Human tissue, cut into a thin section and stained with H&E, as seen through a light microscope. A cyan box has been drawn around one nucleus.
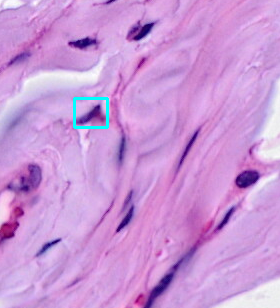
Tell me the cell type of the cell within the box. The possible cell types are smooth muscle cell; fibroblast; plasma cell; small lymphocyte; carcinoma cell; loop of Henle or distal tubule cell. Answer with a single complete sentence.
The cell within the box appears to be a fibroblast.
